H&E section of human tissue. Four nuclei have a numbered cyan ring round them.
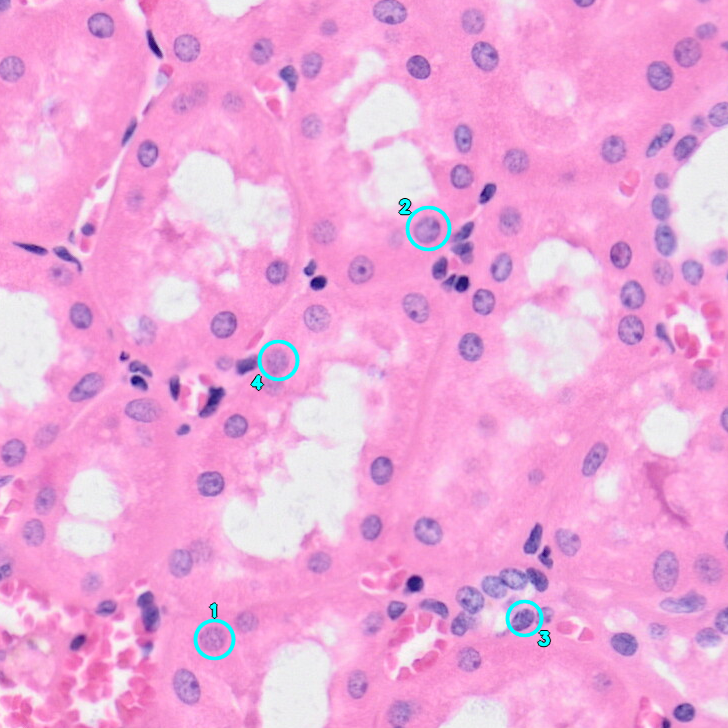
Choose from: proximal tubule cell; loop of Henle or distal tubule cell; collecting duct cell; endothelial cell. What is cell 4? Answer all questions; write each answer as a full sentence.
At number 4, the marked cell is a proximal tubule cell.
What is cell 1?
Heads up, the cell numbered 1 is a proximal tubule cell.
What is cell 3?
Number 3 is placed on a collecting duct cell here.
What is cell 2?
The numbered cell 2 in this field is a proximal tubule cell.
